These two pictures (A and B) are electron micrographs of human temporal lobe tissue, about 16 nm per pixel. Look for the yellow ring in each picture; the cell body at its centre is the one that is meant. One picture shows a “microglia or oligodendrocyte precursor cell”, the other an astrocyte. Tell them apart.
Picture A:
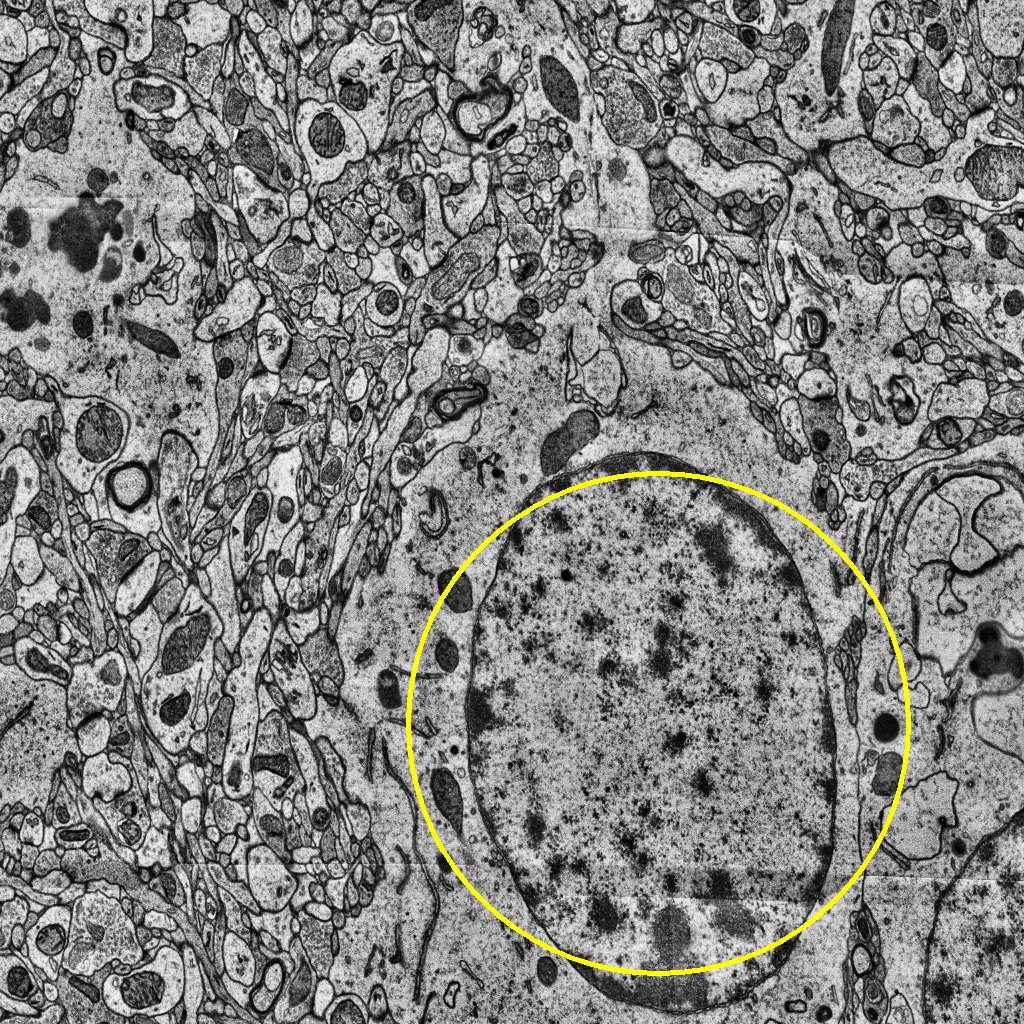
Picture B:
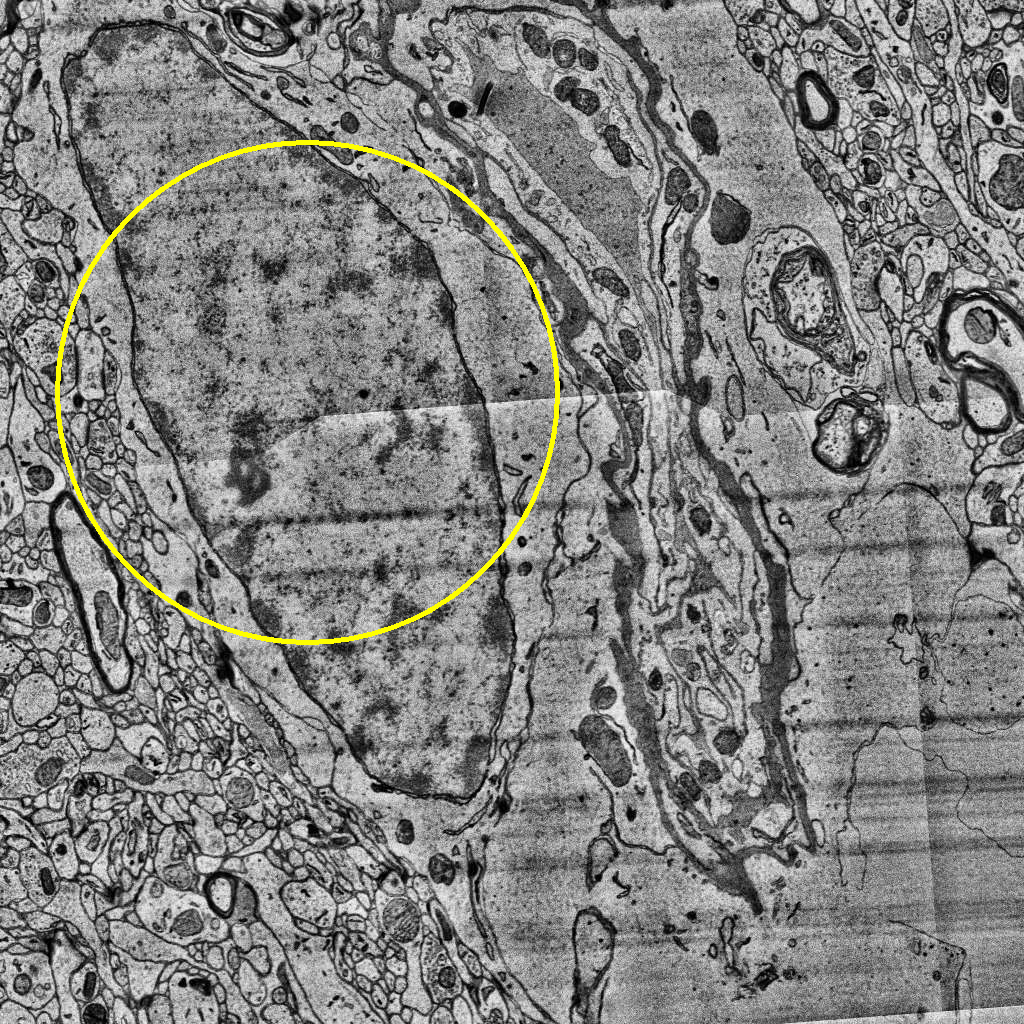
Picture B shows a “microglia or oligodendrocyte precursor cell”, while picture A shows an astrocyte.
